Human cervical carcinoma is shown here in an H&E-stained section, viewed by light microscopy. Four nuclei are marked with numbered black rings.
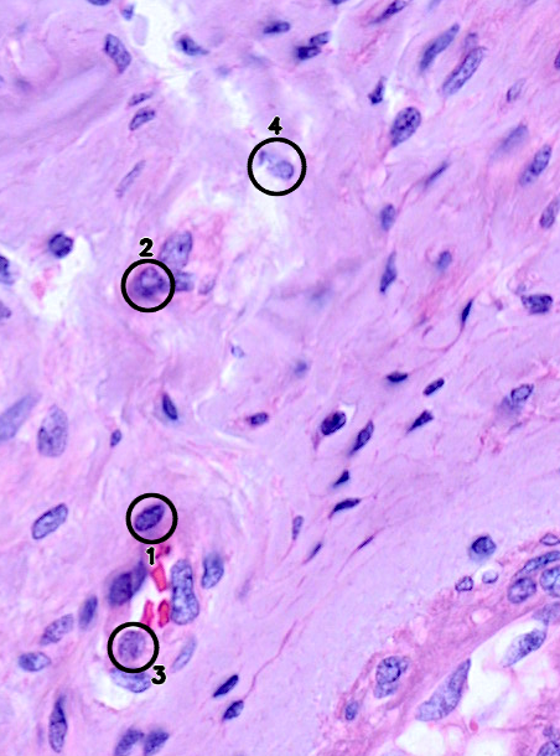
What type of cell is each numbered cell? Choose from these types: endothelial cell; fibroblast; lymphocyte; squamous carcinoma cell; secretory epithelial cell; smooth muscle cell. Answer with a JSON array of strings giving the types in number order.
["endothelial cell", "endothelial cell", "endothelial cell", "fibroblast"]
